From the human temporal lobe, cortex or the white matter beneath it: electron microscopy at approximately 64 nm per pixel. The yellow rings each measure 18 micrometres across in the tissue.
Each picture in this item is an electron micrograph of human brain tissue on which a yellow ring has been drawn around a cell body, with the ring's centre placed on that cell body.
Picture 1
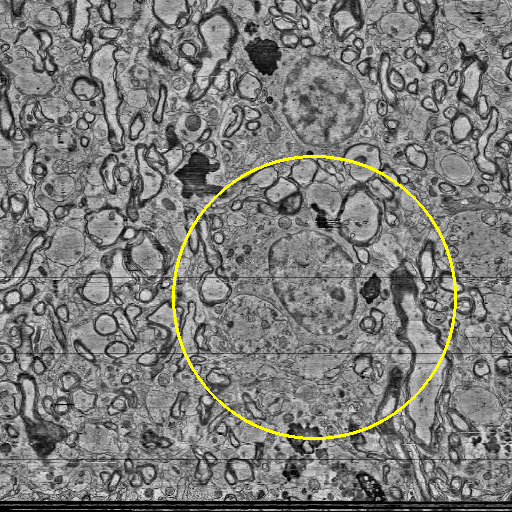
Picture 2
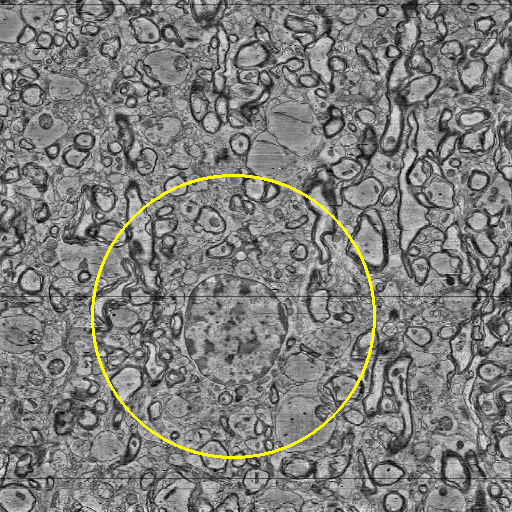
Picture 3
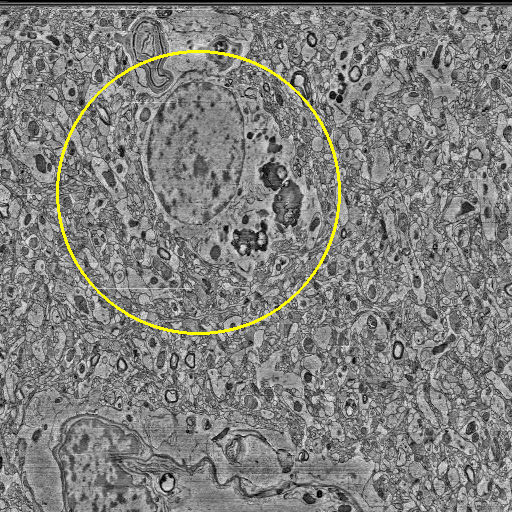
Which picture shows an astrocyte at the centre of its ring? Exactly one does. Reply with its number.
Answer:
3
